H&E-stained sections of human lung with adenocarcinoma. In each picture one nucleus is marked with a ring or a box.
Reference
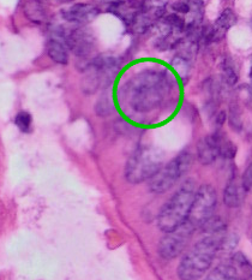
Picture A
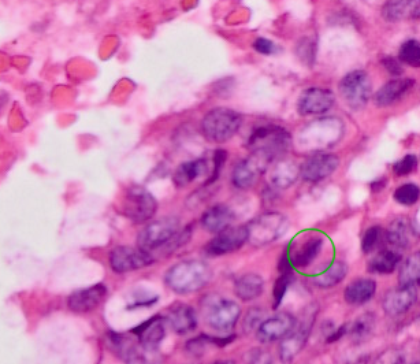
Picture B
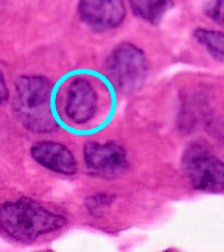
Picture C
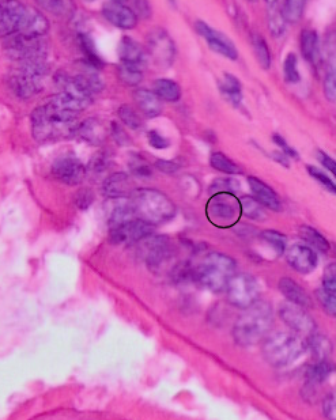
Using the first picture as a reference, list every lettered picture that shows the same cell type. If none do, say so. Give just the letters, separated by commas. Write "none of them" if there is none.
A, C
